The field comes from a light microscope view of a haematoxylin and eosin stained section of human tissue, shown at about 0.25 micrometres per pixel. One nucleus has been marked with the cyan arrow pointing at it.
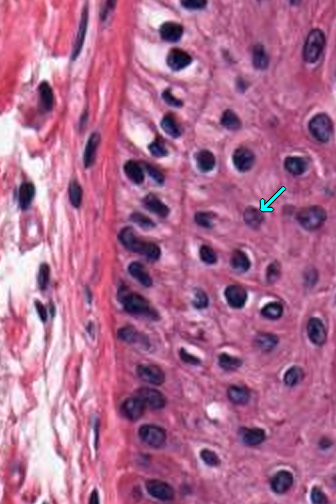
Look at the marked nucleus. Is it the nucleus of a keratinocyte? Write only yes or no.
yes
